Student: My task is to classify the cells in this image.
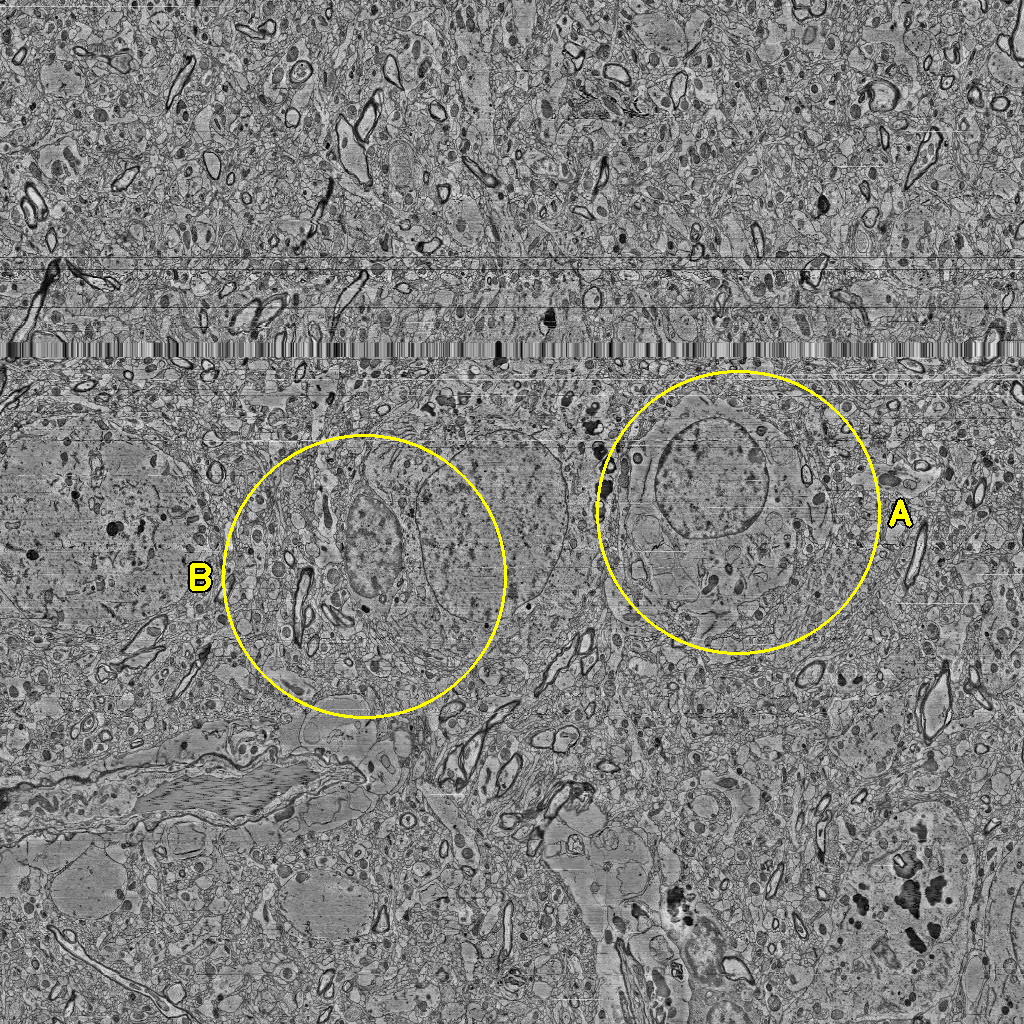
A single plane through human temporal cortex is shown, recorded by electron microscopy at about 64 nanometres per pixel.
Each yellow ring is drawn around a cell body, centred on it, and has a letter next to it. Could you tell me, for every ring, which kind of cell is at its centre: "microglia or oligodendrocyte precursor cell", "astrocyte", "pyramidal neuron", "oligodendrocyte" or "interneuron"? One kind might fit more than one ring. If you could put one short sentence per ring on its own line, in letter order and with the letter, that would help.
Ring A's central cell is an astrocyte.
Ring B's central cell is an oligodendrocyte.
